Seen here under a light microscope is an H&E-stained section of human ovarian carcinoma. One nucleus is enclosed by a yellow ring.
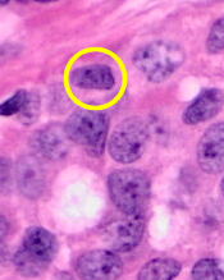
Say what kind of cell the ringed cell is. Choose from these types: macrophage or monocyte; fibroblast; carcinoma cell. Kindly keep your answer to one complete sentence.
In this tissue sample, the ringed cell is a macrophage or monocyte.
